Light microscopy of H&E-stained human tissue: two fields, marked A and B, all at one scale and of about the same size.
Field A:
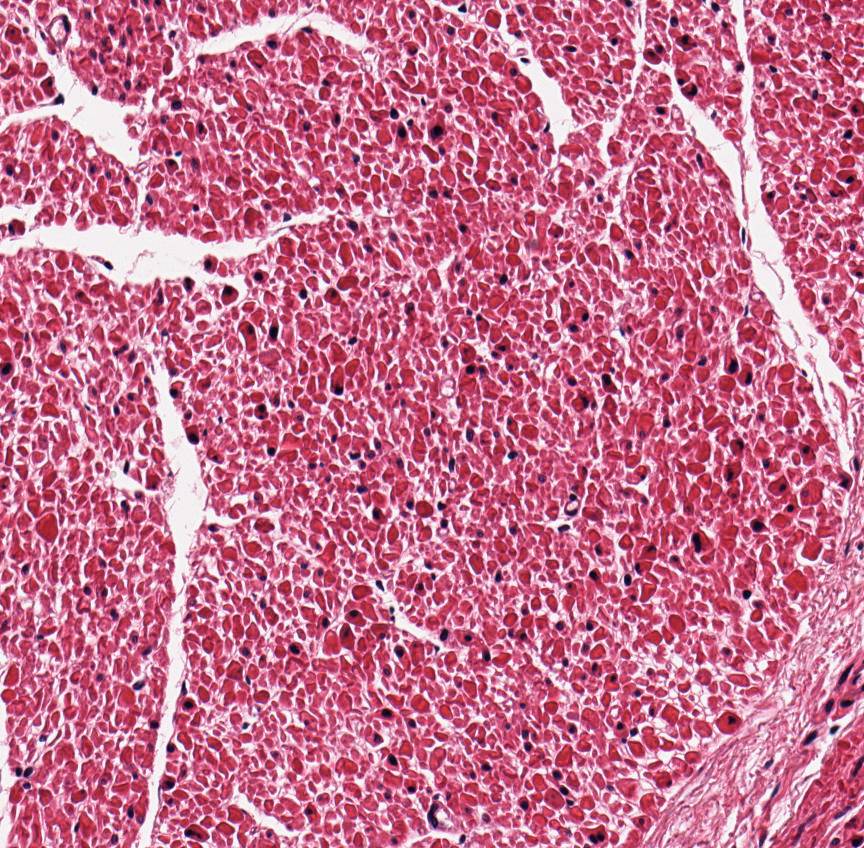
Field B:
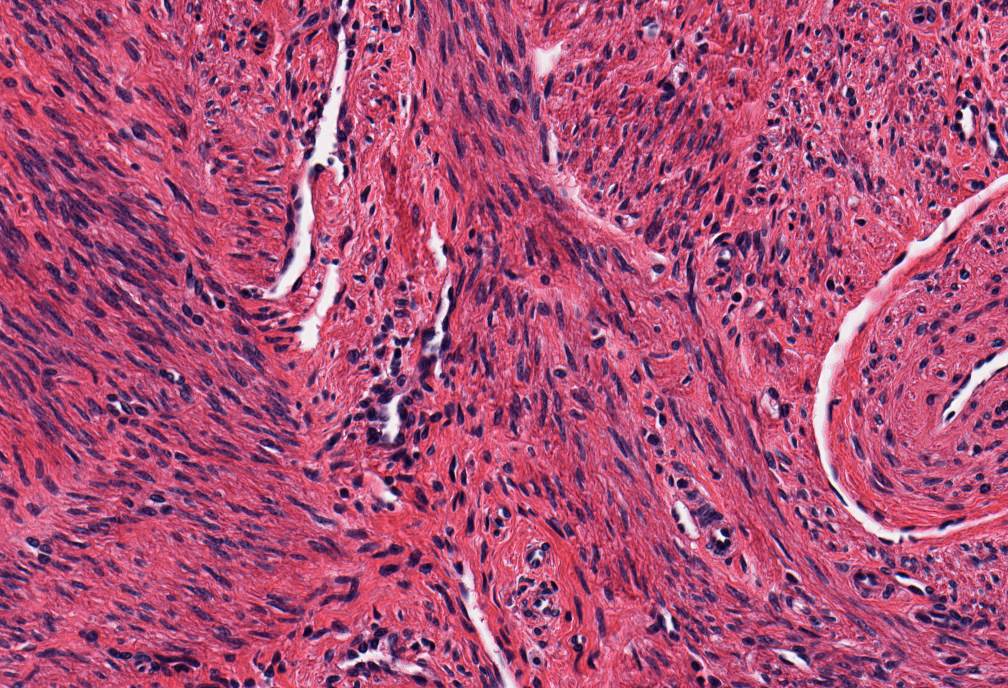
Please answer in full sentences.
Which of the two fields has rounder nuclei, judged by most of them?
Rounder nuclei lie in field A.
